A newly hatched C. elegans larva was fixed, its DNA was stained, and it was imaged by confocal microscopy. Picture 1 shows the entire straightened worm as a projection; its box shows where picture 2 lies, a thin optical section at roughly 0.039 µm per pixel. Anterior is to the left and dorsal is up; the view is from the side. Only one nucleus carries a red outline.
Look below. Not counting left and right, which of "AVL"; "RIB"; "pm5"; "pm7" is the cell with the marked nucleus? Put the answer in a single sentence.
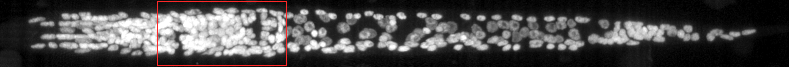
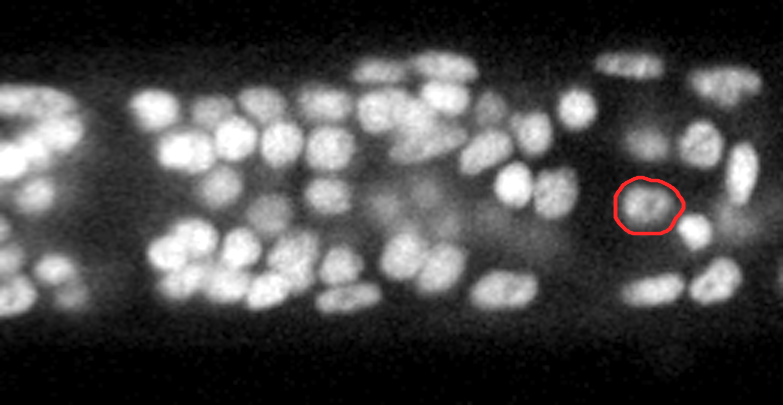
The nucleus is from pm7, a pharyngeal muscle cell.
